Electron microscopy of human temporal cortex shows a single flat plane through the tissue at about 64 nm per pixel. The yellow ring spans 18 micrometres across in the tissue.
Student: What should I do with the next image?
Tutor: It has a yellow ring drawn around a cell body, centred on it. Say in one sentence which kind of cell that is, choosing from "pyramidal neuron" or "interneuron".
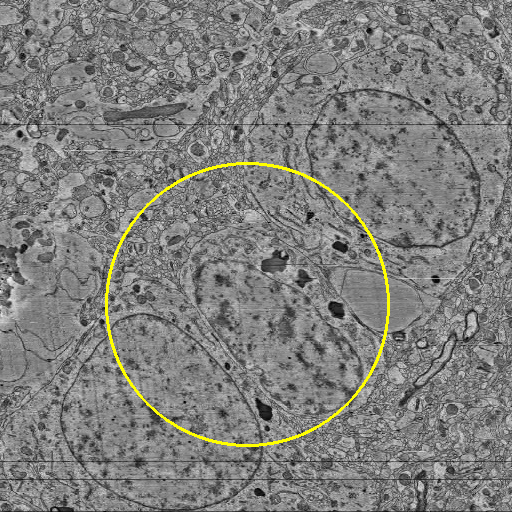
The ring's centre is occupied by an interneuron.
